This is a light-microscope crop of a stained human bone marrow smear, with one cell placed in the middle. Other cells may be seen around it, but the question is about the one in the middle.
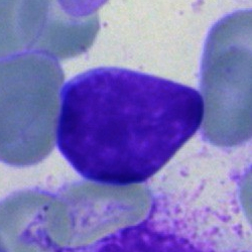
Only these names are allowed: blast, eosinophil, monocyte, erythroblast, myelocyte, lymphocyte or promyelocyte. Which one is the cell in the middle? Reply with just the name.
blast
